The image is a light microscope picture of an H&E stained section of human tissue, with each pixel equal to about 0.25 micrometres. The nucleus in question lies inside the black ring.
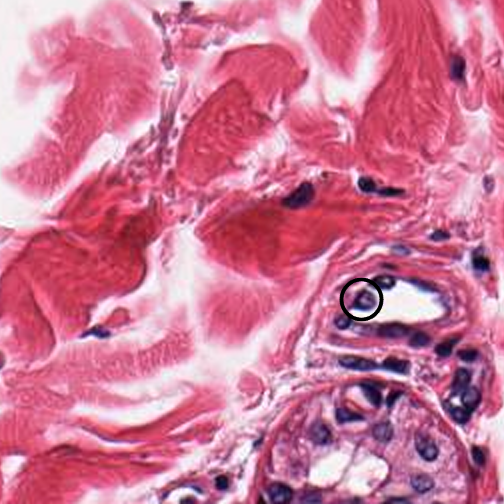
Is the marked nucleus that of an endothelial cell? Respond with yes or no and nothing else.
yes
